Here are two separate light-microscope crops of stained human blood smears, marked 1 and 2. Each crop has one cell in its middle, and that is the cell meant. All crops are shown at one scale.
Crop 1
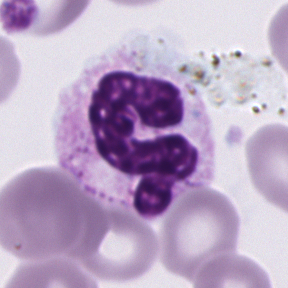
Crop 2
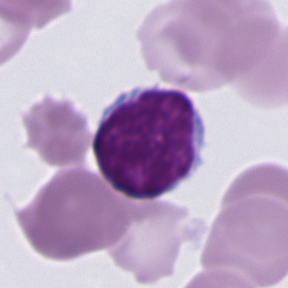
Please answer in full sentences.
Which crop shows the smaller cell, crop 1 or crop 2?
It is the cell in crop 2; the cell in crop 1 has about 2 times its area.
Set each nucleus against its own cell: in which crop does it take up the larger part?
The nucleus fills more of the cell in crop 2 than in crop 1.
